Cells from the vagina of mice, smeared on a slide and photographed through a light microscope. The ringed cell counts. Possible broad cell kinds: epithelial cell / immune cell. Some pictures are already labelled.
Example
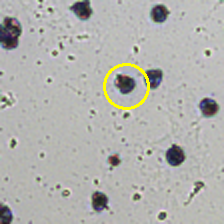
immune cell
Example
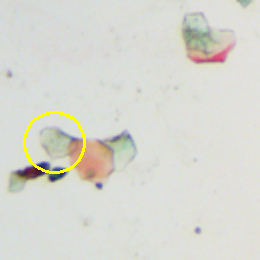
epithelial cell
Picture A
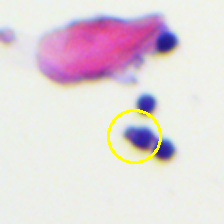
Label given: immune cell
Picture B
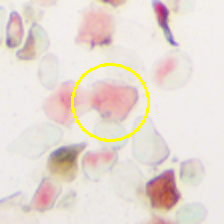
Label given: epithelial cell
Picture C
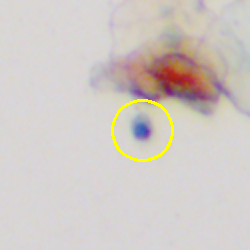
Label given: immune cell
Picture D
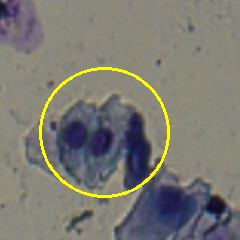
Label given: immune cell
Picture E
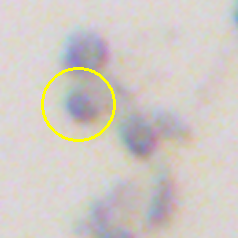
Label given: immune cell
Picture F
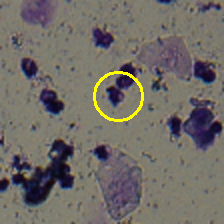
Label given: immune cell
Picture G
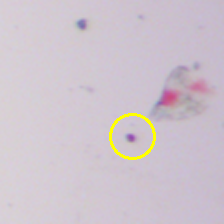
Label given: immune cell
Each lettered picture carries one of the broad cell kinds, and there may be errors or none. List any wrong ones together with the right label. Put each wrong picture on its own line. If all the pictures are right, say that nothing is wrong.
D should be epithelial cell, not immune cell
